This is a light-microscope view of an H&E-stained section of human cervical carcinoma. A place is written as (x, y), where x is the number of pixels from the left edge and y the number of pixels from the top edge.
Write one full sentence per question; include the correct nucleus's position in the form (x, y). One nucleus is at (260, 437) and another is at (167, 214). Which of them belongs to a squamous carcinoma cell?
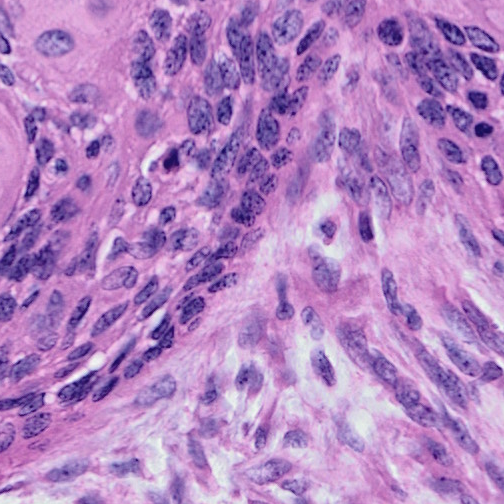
The nucleus at (167, 214) is housed in a squamous carcinoma cell.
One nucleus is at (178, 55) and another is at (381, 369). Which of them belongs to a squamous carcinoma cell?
The nucleus whose position is (178, 55) belongs to a squamous carcinoma cell.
